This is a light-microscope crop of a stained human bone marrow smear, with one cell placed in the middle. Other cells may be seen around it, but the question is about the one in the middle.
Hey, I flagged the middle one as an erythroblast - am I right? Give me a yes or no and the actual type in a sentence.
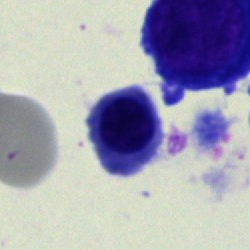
Yes, the middle cell is classified as an erythroblast.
